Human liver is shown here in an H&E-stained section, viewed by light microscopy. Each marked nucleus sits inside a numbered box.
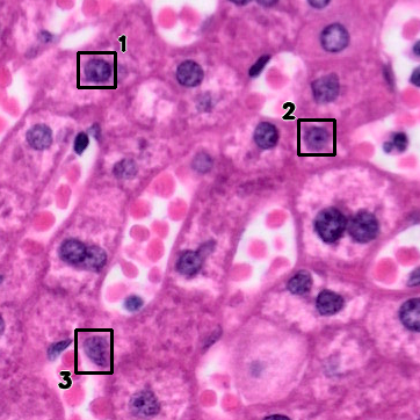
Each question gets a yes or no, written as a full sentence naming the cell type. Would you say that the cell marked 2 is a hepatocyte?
Yes, the cell that number 2 points to is a hepatocyte.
